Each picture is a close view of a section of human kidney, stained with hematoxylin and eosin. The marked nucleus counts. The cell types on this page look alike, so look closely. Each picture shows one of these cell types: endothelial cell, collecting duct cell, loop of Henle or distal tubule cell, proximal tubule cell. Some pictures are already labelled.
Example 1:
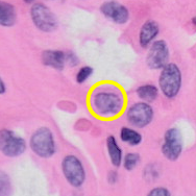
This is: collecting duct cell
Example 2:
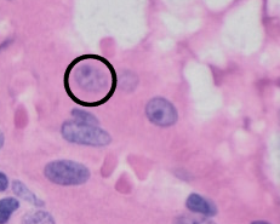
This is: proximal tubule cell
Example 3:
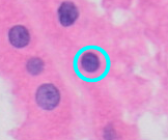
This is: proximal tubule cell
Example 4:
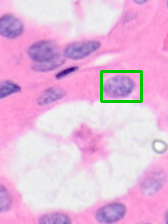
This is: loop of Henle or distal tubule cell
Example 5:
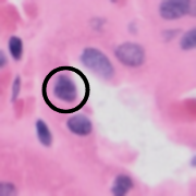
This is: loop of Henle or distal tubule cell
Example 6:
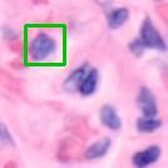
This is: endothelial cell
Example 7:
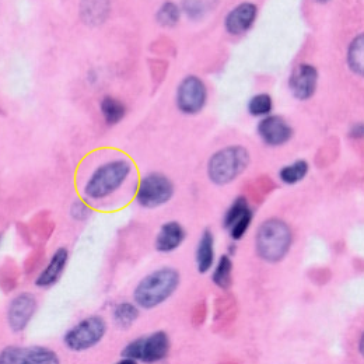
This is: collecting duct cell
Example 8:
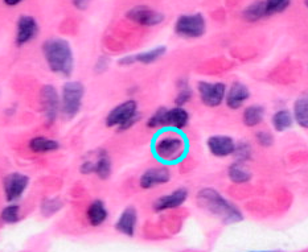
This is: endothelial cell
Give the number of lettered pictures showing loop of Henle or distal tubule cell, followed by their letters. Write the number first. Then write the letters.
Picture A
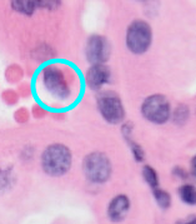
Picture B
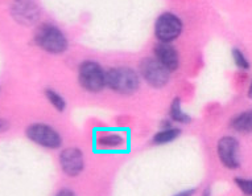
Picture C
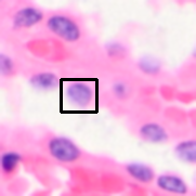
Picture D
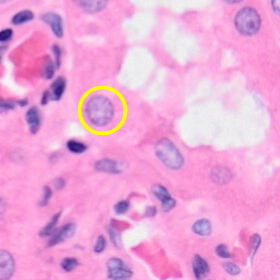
1, namely C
